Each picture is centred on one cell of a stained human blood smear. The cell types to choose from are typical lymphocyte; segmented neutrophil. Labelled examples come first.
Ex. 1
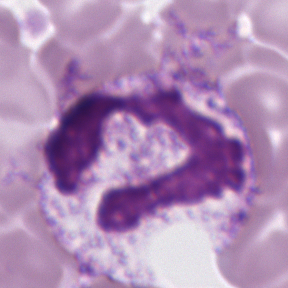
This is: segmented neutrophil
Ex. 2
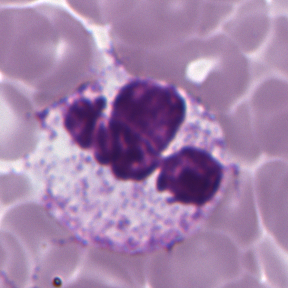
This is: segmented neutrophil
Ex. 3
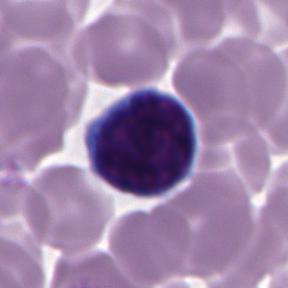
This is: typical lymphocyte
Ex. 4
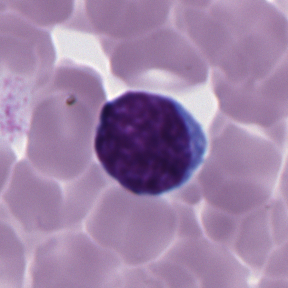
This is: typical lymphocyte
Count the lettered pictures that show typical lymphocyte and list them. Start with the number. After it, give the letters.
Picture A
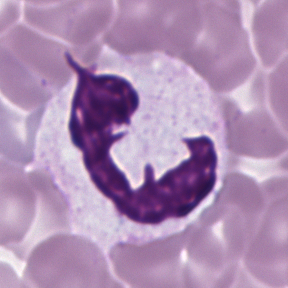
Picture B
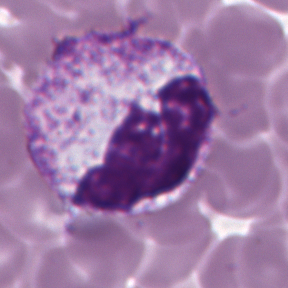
0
